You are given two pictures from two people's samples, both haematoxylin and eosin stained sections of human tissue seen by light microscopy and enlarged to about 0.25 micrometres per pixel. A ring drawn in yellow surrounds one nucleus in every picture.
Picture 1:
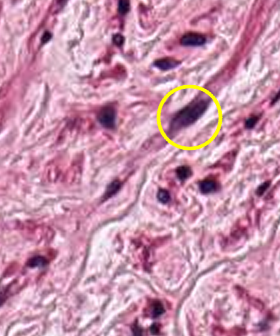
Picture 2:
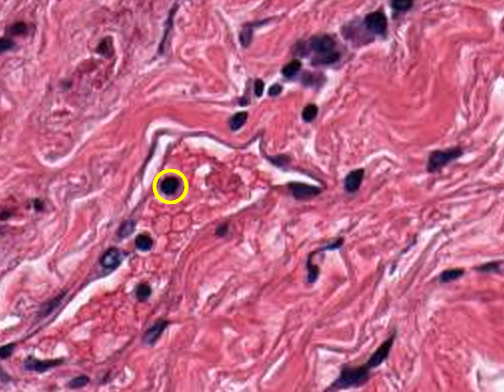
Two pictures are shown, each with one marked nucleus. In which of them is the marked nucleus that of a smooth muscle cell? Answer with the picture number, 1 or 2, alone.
1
